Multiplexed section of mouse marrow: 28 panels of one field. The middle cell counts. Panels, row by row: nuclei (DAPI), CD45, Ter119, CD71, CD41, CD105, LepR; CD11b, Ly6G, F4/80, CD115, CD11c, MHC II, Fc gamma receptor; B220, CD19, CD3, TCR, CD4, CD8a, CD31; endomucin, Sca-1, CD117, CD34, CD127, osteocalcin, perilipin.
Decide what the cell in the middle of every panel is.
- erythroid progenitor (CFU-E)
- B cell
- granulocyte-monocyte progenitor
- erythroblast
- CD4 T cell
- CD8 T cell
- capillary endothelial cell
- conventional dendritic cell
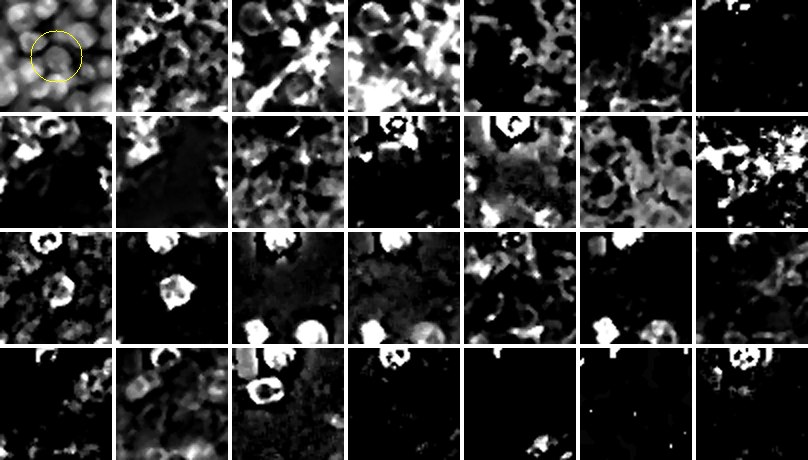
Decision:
B cell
